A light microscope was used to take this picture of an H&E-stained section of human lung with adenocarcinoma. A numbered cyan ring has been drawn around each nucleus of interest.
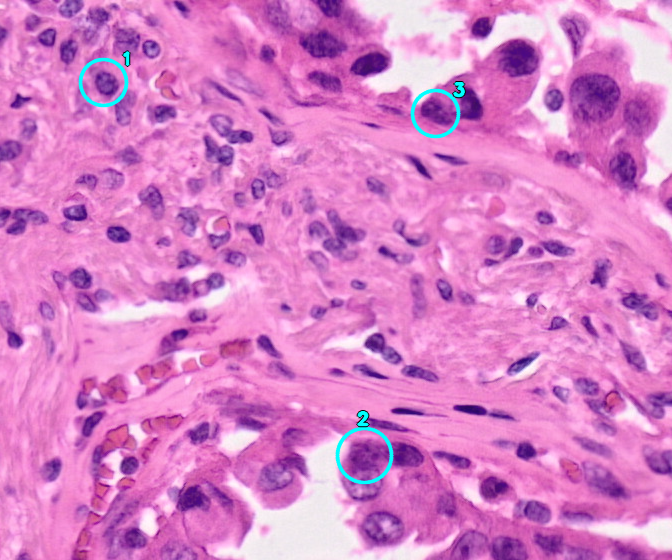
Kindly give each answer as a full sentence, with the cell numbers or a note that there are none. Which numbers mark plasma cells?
None but cell 1 among the numbered cells is a plasma cell.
